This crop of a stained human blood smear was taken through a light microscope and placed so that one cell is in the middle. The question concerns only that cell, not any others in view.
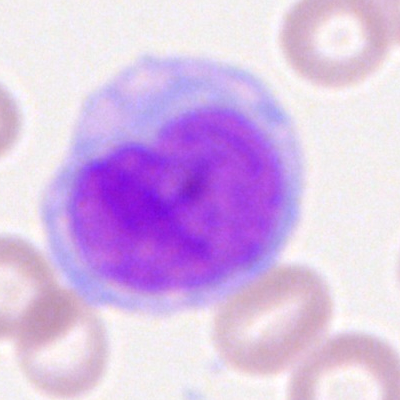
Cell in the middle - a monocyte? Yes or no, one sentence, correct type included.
Yes, the cell lying in the centre of the crop is identified as a monocyte.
